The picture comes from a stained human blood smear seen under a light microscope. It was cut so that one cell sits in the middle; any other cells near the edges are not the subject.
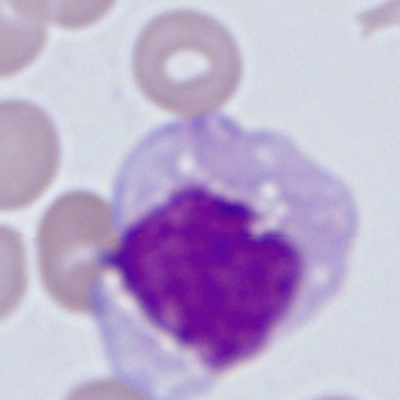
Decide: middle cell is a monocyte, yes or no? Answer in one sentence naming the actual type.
Yes, the centre of the crop holds a monocyte.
